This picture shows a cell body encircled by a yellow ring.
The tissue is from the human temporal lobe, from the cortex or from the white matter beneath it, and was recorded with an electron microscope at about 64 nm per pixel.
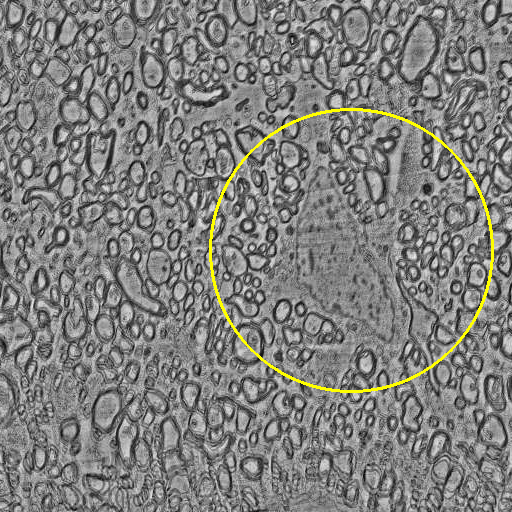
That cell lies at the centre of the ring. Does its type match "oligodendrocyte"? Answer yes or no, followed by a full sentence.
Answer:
No, in the picture, the ring surrounds a cell of another type at its centre.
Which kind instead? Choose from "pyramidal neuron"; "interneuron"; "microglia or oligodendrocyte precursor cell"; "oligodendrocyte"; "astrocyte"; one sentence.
The cell ringed in the picture is an astrocyte.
